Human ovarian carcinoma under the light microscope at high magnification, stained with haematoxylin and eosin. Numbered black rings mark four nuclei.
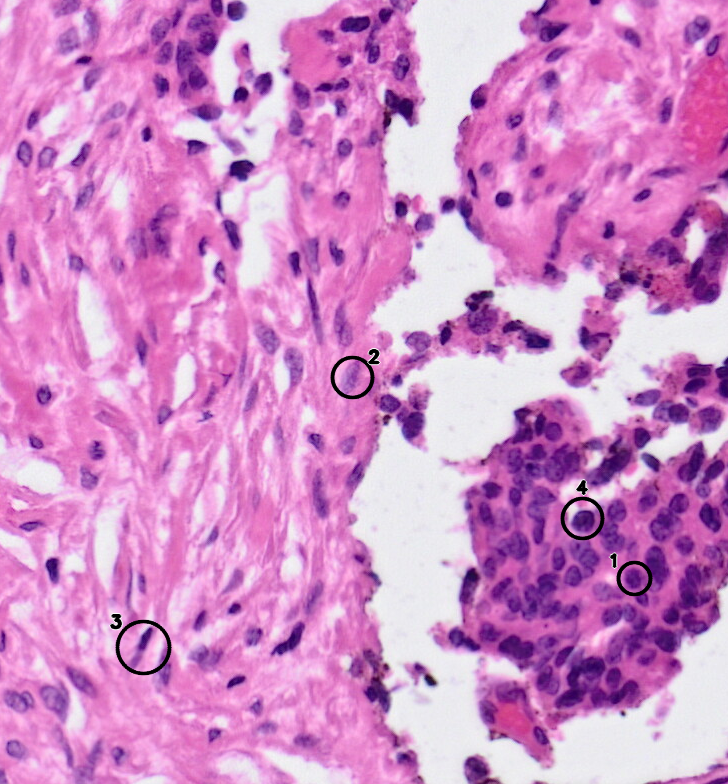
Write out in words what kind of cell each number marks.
Cells 1 and 4 are carcinoma cells. Cells 2 and 3 are fibroblasts.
